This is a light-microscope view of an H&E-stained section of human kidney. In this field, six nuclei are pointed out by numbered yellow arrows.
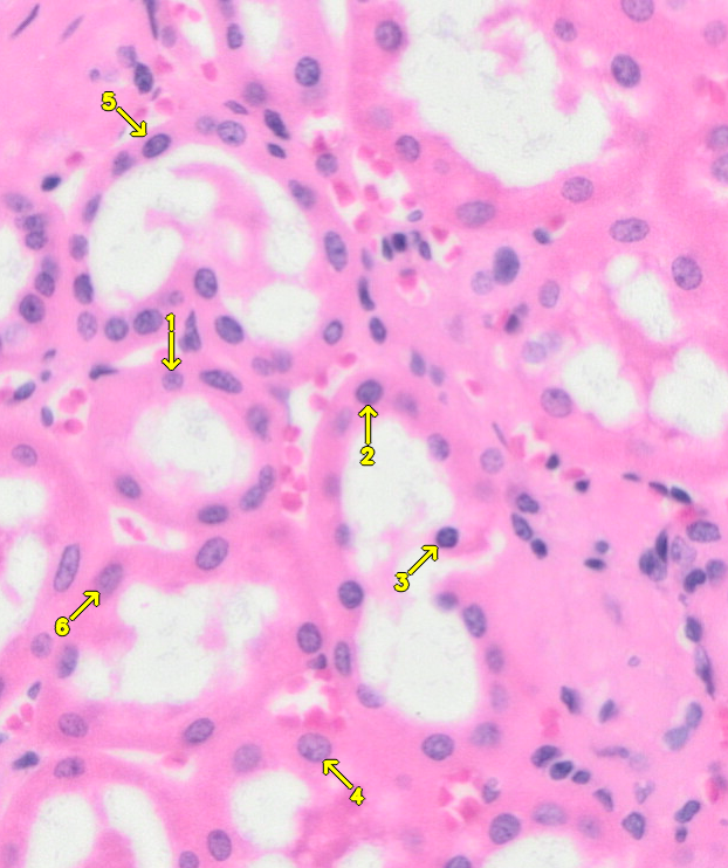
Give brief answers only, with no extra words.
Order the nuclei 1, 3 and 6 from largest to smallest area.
6, 3, 1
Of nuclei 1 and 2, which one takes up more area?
2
